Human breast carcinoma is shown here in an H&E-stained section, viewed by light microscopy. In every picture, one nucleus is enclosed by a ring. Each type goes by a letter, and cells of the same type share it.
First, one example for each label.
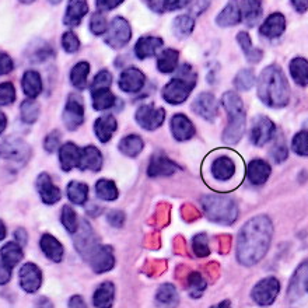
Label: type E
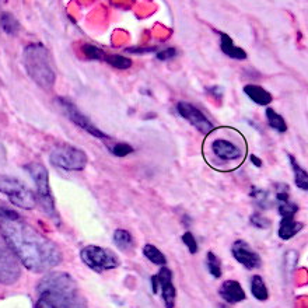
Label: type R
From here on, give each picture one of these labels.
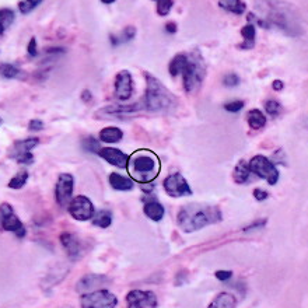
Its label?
type E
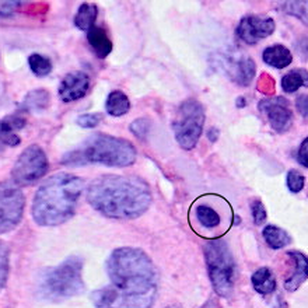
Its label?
type E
